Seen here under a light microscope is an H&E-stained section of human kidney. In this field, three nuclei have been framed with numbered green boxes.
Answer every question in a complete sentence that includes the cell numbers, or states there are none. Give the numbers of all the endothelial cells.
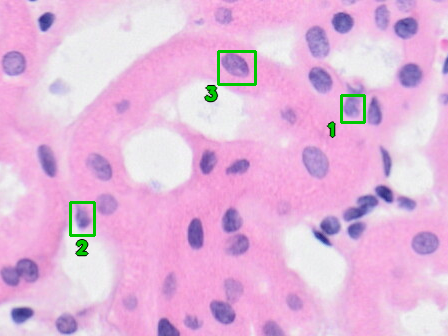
Being an endothelial cell is true of cell 2 and of no other numbered cell.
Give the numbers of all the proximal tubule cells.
The nucleus labelled 3 alone belongs to a proximal tubule cell; the other marked nuclei do not.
